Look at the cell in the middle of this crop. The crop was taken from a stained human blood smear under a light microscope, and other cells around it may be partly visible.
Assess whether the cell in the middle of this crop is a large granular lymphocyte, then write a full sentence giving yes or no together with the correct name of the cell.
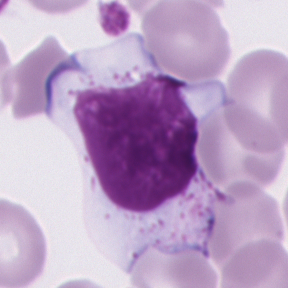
Yes, at the centre of the crop lies a large granular lymphocyte.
